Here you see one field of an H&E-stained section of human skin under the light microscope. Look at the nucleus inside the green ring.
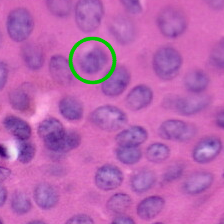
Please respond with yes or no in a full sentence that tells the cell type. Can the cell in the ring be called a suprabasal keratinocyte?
Yes, and to confirm, the cell in the ring is a suprabasal keratinocyte.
